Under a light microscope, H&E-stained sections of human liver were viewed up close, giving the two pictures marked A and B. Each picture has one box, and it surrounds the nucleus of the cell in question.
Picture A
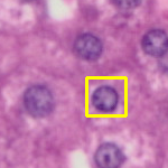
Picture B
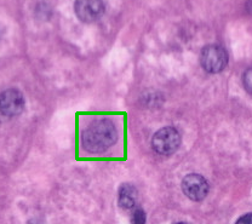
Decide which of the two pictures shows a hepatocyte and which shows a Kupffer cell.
A: hepatocyte
B: Kupffer cell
